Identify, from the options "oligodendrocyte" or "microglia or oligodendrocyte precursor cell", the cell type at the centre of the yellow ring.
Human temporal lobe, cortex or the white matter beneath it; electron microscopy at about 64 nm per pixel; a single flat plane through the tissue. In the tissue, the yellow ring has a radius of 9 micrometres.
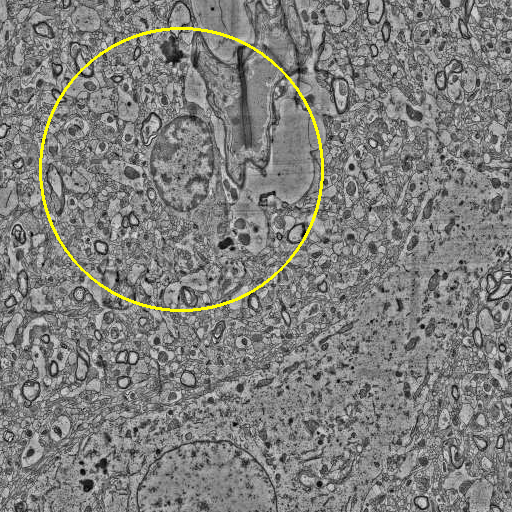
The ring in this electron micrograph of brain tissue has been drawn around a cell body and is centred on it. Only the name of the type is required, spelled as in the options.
oligodendrocyte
